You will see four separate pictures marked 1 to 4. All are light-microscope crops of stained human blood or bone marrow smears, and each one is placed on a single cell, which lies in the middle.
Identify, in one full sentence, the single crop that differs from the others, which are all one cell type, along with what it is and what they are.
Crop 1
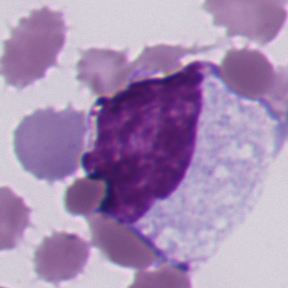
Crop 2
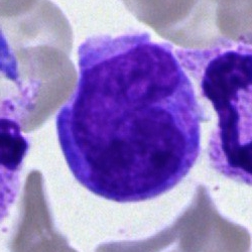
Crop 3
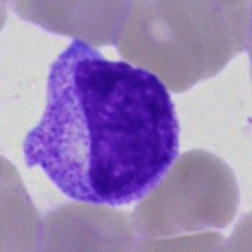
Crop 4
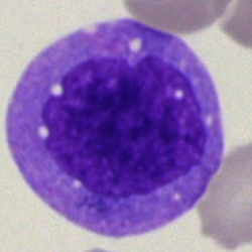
For this set, crop 3 is a myelocyte, and all the rest are monocytes.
